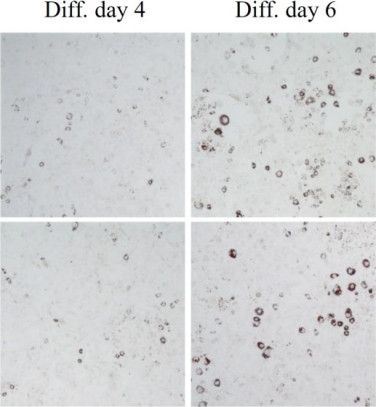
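Rounded cells hold red-stained droplets, often seen as red rings around a clear centre, between flatter, unstained cells. The red-stained, rounded cells are sparse and small in the left column and become more numerous, larger and more intensely stained toward the right.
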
